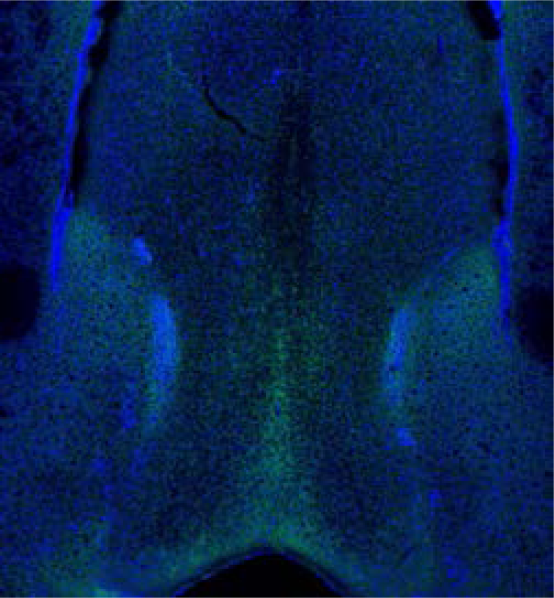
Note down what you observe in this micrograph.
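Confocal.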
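A low-magnification coronal section of forebrain shows blue tissue with two dark, slit-like cavities flanking the midline. Between them, a column of tissue carries scattered green fluorescence that is densest along the midline. Brighter blue thickened regions border the cavities laterally.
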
